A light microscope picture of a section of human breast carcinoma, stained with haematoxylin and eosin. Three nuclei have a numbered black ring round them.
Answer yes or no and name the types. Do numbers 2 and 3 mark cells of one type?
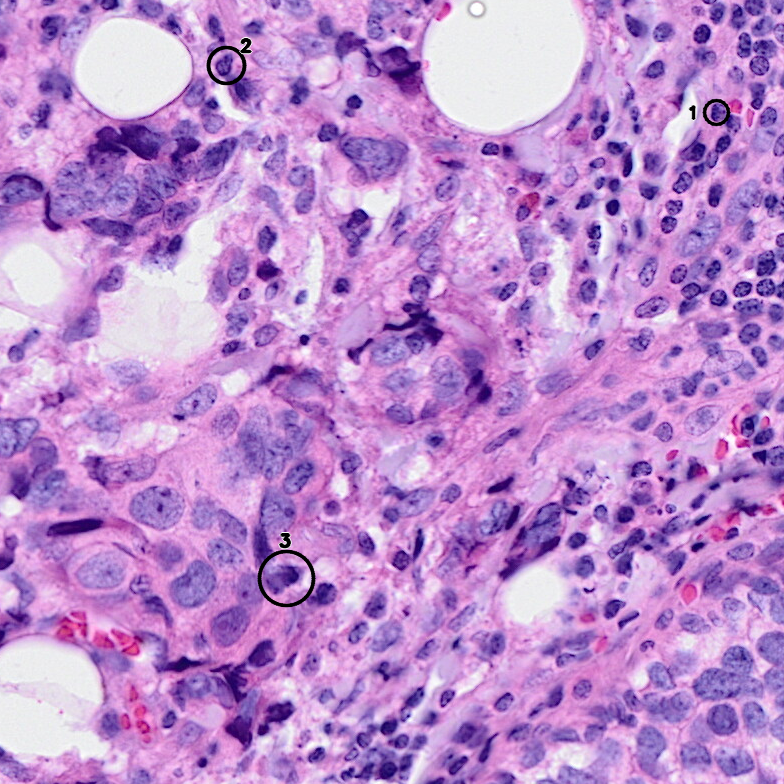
No, cell 3 is a carcinoma cell, while cell 2 is a lymphocyte.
